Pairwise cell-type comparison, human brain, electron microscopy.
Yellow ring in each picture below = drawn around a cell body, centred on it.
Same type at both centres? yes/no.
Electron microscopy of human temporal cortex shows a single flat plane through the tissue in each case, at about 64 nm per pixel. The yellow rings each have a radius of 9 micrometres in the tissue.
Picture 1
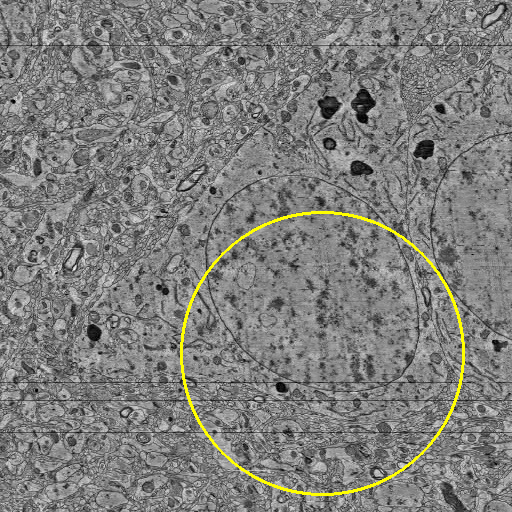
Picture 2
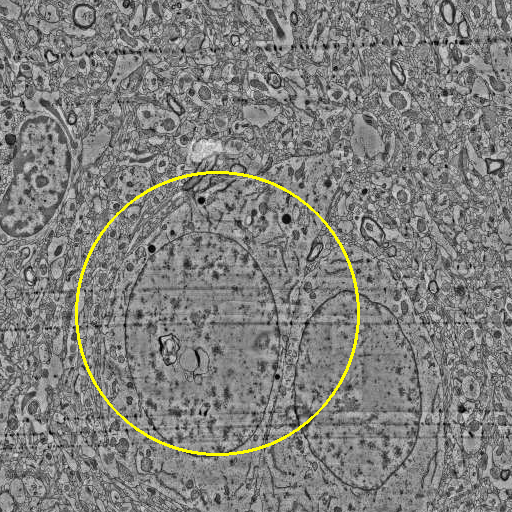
yes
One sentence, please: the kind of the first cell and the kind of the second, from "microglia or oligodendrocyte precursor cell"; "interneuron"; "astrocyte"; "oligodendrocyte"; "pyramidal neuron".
Both rings mark a pyramidal neuron, one in each picture.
